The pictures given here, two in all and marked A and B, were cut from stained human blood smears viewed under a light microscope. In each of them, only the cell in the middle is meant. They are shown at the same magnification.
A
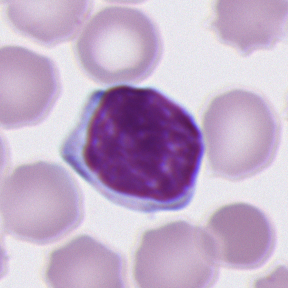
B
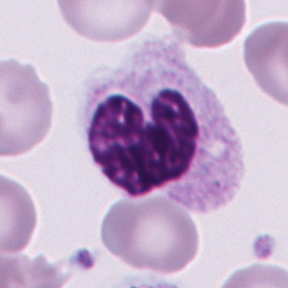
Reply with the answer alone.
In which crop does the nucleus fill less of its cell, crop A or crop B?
B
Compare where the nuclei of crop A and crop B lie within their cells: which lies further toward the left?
B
